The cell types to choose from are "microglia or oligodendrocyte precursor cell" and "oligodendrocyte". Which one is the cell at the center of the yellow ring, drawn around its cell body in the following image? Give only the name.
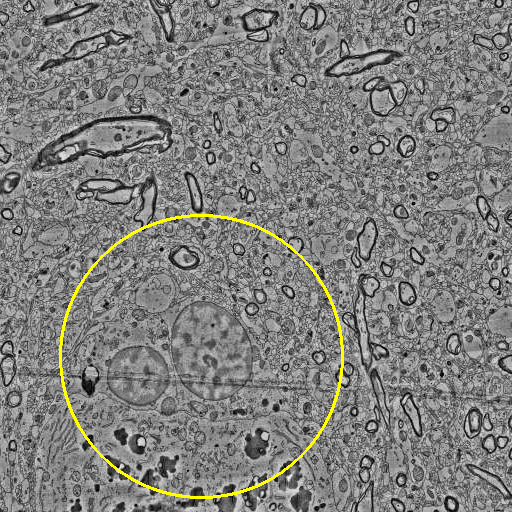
oligodendrocyte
